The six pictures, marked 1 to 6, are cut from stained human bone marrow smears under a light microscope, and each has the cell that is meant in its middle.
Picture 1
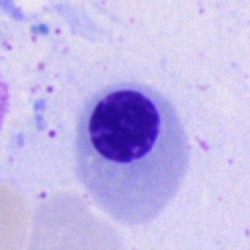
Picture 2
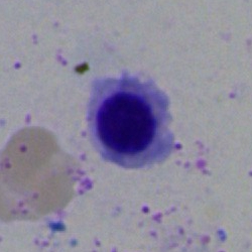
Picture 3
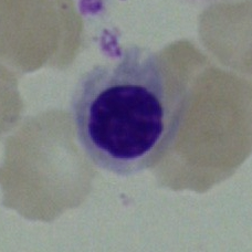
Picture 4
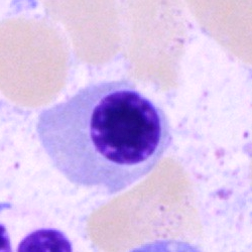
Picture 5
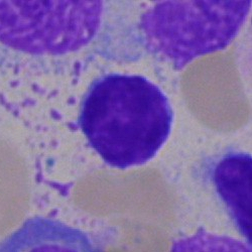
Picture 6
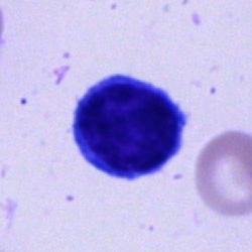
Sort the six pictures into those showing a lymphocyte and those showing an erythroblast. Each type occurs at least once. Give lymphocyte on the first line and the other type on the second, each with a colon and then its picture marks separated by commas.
lymphocyte: 5, 6
erythroblast: 1, 2, 3, 4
